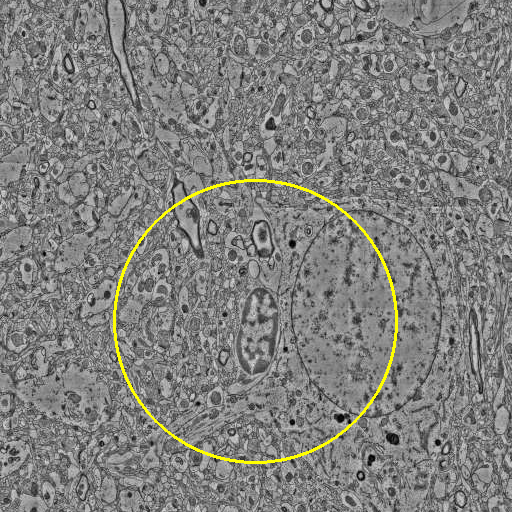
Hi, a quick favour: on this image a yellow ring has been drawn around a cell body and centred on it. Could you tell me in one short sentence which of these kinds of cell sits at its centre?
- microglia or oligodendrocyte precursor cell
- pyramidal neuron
The ring is centred on a microglial cell or oligodendrocyte precursor cell.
